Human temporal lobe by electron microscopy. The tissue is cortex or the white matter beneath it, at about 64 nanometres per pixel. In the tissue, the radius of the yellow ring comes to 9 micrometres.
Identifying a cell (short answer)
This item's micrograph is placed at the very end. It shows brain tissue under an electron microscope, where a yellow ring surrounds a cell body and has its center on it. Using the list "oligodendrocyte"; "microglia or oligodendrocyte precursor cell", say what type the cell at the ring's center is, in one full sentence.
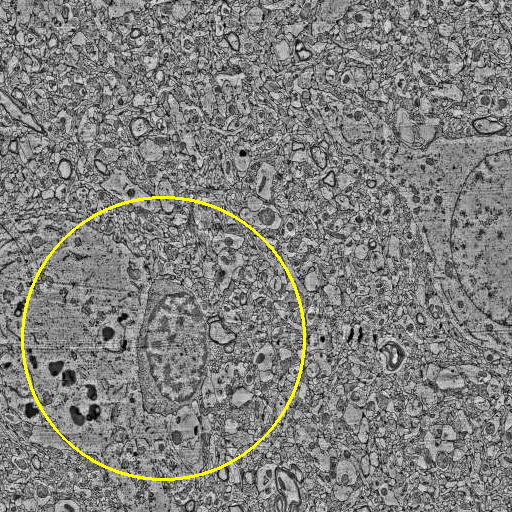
This picture shows an oligodendrocyte at the center of the yellow ring drawn on it.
